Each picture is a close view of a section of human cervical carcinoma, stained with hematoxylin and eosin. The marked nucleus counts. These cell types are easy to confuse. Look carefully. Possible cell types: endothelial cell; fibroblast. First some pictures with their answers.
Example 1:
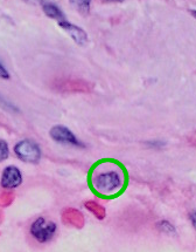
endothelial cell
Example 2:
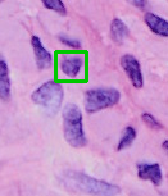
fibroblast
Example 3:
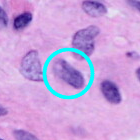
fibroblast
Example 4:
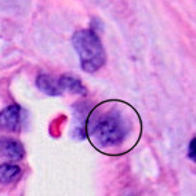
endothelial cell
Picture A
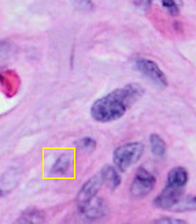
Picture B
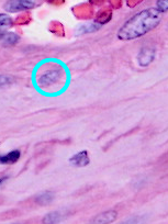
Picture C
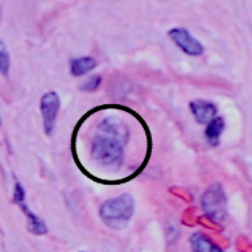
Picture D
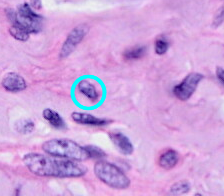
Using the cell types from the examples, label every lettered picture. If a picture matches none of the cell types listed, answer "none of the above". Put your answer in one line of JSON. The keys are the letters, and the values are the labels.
{"A": "none of the above", "B": "none of the above", "C": "endothelial cell", "D": "none of the above"}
